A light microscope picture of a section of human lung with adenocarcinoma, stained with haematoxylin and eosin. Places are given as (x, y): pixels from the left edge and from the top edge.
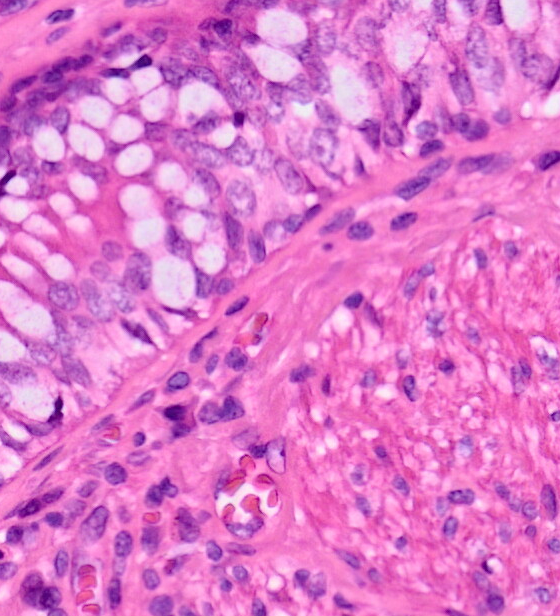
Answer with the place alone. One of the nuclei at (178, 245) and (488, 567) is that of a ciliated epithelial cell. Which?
(178, 245)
